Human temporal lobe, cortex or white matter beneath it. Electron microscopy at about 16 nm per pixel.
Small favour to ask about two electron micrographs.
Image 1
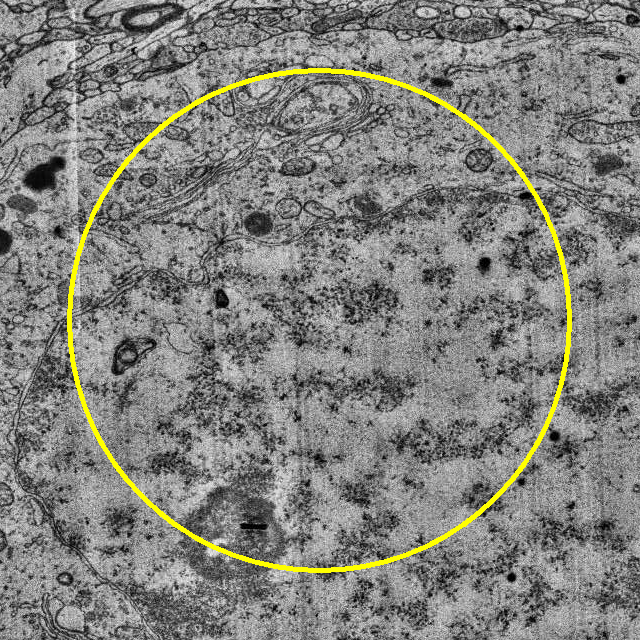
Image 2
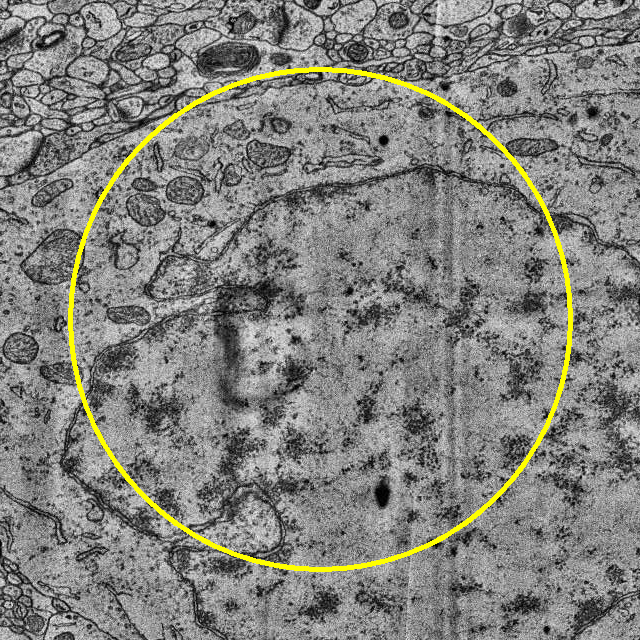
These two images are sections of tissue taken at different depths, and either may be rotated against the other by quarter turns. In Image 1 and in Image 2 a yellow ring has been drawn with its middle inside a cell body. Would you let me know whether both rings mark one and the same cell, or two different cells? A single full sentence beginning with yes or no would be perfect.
No, the ringed cells are two separate cells.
